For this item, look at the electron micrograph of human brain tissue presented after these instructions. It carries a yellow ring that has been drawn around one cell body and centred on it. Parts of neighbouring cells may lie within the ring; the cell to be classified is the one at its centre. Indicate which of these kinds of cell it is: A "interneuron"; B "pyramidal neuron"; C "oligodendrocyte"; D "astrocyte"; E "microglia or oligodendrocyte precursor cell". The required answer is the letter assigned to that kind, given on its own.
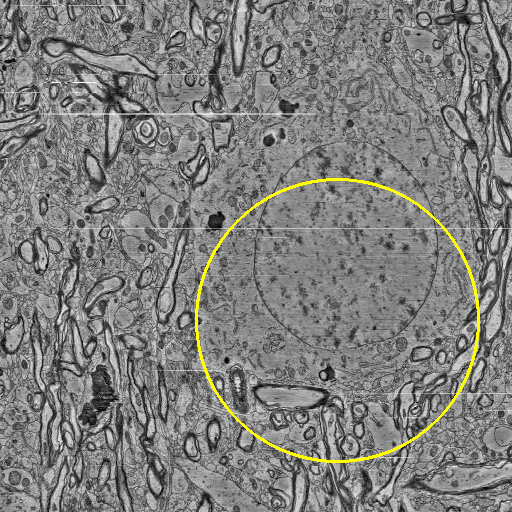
B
